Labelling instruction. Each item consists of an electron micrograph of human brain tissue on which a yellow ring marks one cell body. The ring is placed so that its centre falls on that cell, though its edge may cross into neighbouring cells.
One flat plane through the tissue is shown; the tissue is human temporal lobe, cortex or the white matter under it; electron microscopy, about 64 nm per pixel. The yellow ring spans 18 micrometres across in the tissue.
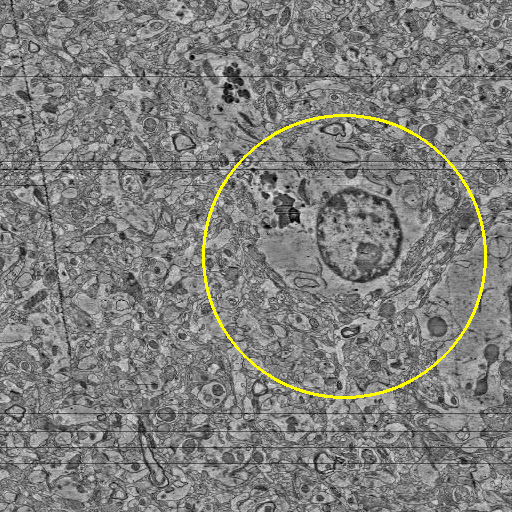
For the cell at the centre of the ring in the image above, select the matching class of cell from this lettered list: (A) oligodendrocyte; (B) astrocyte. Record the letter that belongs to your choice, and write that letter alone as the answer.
B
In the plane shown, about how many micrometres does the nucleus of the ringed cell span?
In this plane, the nucleus of the cell at the centre of the ring is about 6 micrometres across.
